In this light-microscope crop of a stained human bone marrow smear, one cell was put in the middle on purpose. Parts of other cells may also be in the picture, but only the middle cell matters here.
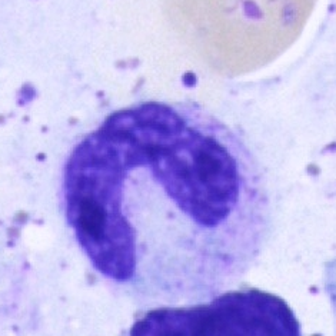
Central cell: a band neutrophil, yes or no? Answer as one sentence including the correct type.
Yes, centred in the crop is a band neutrophil.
